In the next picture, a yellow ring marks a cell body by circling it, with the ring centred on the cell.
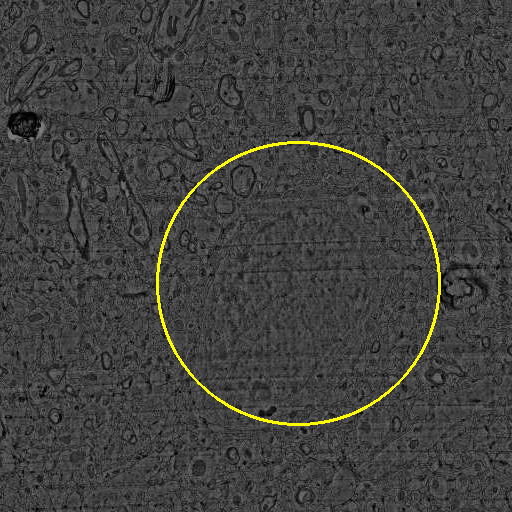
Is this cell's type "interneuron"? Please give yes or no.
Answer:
yes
